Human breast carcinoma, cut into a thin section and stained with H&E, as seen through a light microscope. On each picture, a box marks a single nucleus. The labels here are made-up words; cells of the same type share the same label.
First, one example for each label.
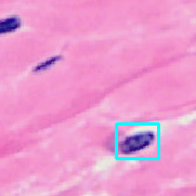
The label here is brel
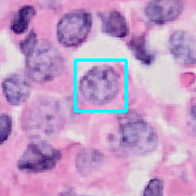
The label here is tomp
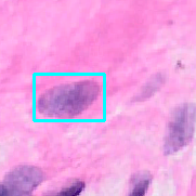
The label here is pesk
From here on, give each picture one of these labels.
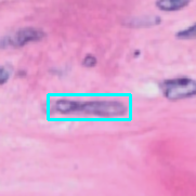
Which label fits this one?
pesk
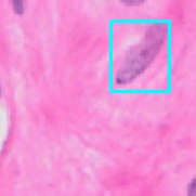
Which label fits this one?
pesk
